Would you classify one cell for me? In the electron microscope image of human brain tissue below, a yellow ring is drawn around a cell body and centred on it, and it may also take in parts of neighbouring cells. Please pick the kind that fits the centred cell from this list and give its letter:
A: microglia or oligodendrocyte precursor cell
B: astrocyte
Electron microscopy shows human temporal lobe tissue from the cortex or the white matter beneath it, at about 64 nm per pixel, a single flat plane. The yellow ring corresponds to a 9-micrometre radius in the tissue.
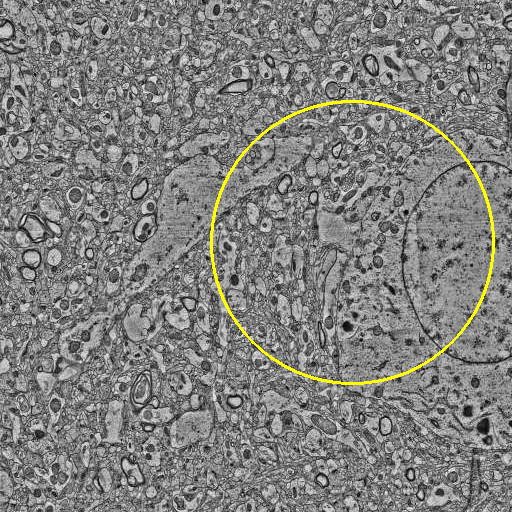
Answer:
A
